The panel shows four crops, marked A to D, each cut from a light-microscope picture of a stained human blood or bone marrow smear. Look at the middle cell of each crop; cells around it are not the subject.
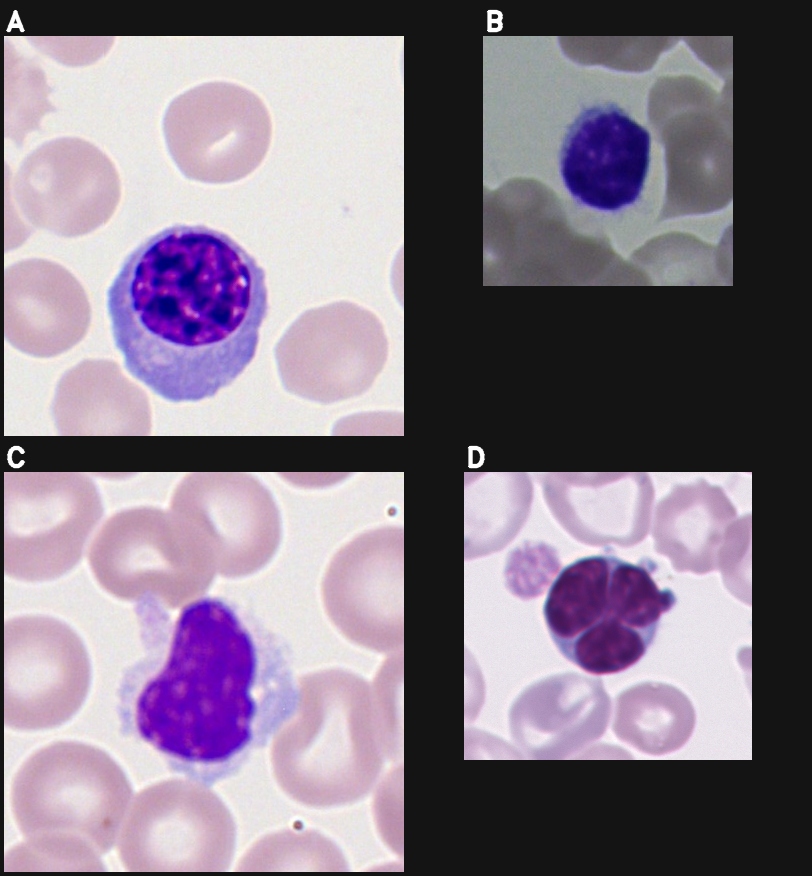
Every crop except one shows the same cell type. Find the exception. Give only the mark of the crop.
A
